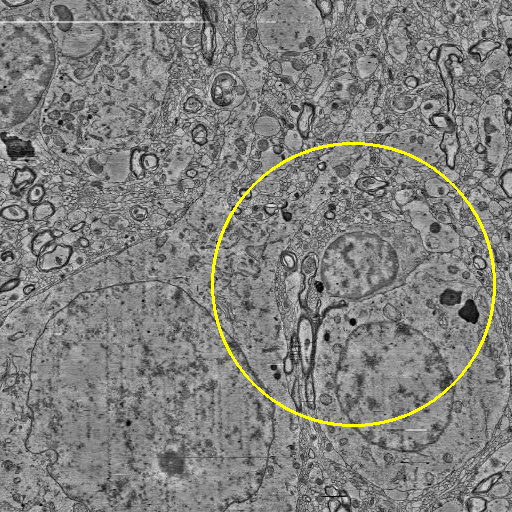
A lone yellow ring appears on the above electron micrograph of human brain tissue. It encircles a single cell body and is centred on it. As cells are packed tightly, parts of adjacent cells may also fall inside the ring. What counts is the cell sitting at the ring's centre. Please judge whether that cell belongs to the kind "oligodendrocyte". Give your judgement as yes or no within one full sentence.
Yes, the cell lying at the centre of the ring in the picture belongs to this kind.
